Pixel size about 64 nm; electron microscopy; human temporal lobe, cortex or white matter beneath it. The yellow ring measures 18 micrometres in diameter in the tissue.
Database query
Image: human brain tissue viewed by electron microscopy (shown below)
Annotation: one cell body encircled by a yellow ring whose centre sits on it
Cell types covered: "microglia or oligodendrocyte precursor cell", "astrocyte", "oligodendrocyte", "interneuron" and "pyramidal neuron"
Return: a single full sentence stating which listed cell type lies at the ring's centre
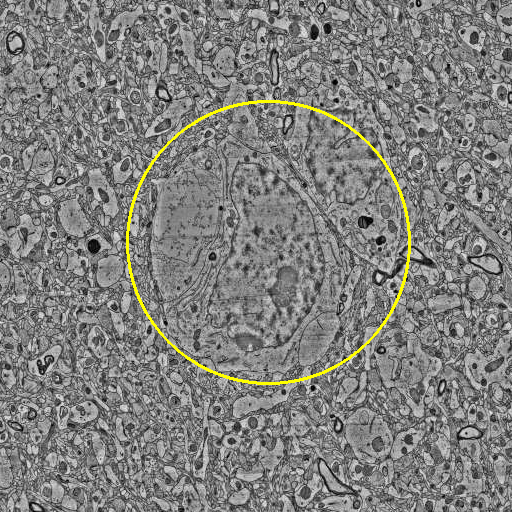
In the image, the cell lying at the ring's centre is an interneuron.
